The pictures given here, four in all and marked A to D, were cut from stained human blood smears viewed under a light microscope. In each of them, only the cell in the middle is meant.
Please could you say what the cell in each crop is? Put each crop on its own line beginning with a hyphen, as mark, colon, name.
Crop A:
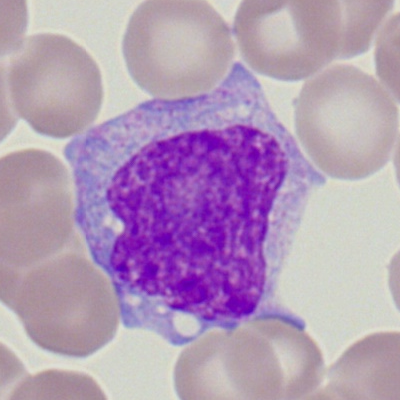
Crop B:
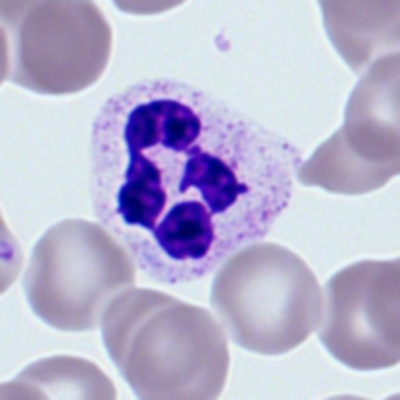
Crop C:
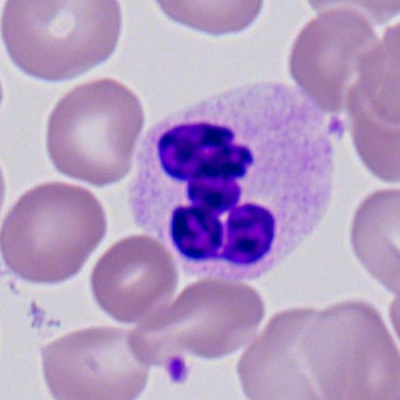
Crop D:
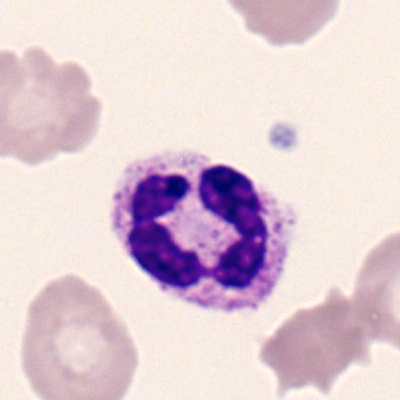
- A: monocyte
- B: segmented neutrophil
- C: segmented neutrophil
- D: segmented neutrophil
